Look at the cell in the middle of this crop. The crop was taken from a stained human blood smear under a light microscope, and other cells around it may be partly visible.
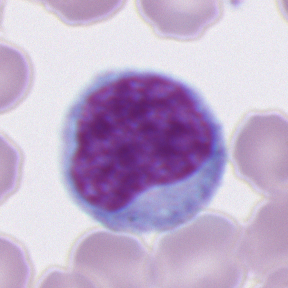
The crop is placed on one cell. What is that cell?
typical lymphocyte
